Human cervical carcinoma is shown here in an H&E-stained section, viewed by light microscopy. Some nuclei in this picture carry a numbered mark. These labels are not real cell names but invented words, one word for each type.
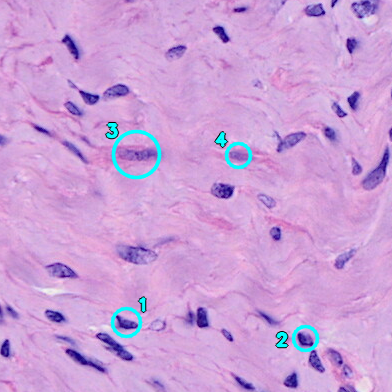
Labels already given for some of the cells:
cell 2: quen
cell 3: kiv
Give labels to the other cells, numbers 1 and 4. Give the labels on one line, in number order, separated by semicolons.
quen; kiv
